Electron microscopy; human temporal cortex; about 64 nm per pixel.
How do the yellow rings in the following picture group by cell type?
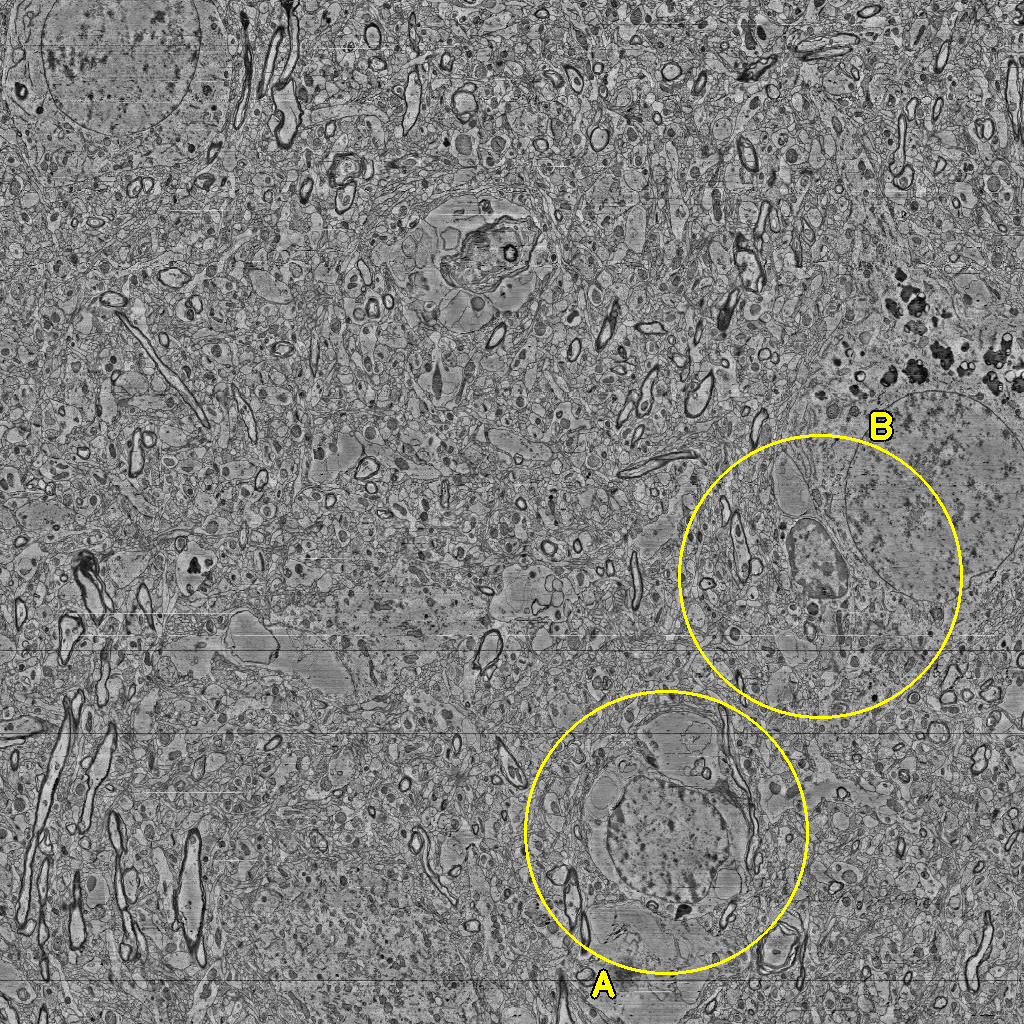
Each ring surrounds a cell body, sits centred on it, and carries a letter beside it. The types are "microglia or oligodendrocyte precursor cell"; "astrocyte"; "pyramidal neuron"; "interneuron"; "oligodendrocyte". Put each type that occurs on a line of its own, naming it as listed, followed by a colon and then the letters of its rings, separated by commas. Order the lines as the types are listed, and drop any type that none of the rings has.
microglia or oligodendrocyte precursor cell: B
astrocyte: A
